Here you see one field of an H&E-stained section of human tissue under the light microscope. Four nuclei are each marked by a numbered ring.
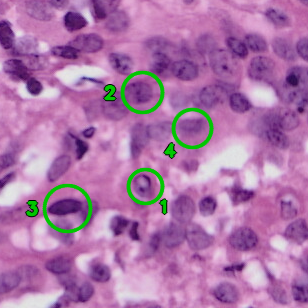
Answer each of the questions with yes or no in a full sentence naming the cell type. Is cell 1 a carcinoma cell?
No, the cell given number 1 is an endothelial cell, as opposed to a carcinoma cell.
